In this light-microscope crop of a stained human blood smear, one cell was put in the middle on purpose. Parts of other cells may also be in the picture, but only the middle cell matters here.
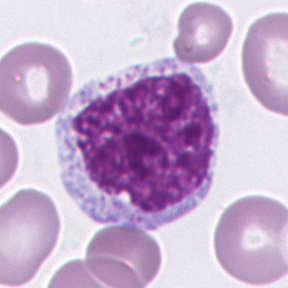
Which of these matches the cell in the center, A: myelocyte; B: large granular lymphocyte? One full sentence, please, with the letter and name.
Occupying the middle of the crop is a myelocyte, hence option A is correct.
